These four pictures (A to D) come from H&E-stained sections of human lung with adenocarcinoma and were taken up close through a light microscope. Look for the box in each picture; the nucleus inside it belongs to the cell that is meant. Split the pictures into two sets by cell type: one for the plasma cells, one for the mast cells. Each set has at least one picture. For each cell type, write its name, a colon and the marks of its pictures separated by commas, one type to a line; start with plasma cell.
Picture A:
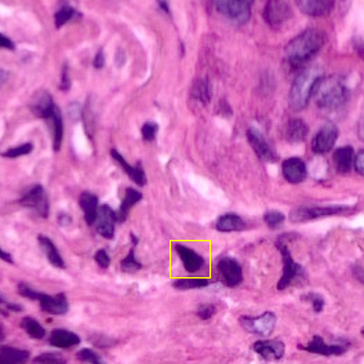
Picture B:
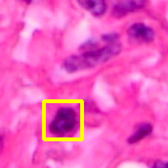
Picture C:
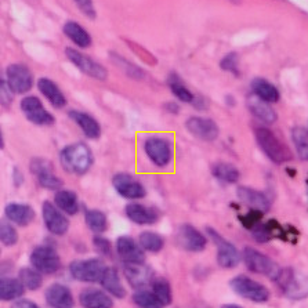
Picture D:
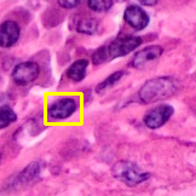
plasma cell: A, B, D
mast cell: C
